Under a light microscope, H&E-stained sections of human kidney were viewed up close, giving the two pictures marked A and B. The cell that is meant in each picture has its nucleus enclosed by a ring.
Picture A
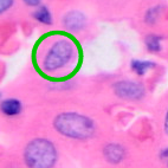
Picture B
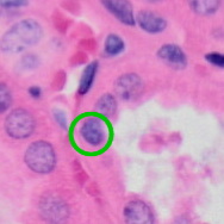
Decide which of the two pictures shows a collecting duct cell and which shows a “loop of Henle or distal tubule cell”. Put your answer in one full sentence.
Picture A is of a collecting duct cell, and picture B is of a “loop of Henle or distal tubule cell”.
